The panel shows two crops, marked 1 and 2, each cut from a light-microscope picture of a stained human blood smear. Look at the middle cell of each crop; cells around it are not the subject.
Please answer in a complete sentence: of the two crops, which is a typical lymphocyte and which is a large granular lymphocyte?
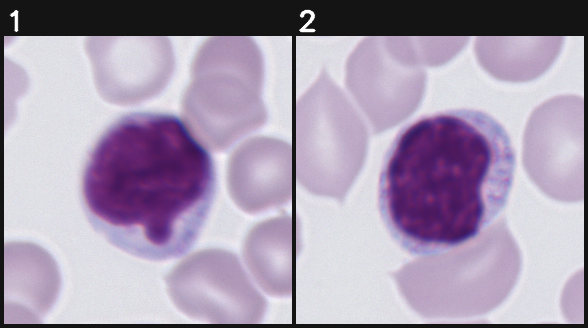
Crop 1 has been identified as a large granular lymphocyte, and crop 2 has been identified as a typical lymphocyte.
